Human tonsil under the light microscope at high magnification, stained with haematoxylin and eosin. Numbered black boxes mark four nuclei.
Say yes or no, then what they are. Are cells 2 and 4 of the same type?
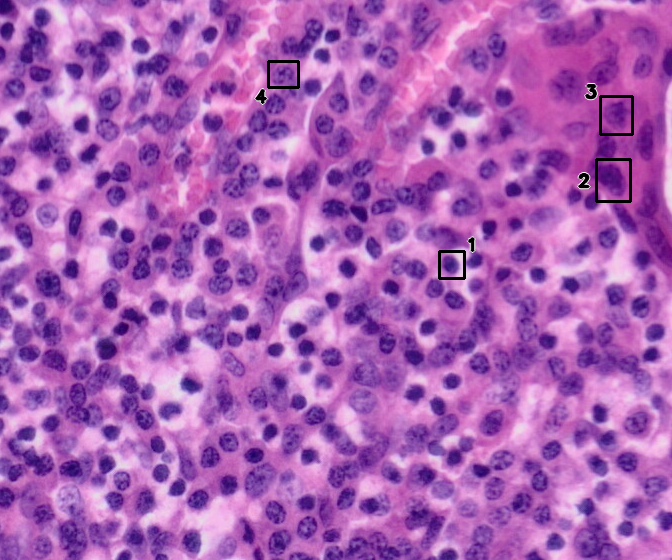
No, cell 4 is a plasma cell, but cell 2 is a squamous epithelial cell.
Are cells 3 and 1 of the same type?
No, cell number 3 is a squamous epithelial cell, and cell number 1 is a plasma cell.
